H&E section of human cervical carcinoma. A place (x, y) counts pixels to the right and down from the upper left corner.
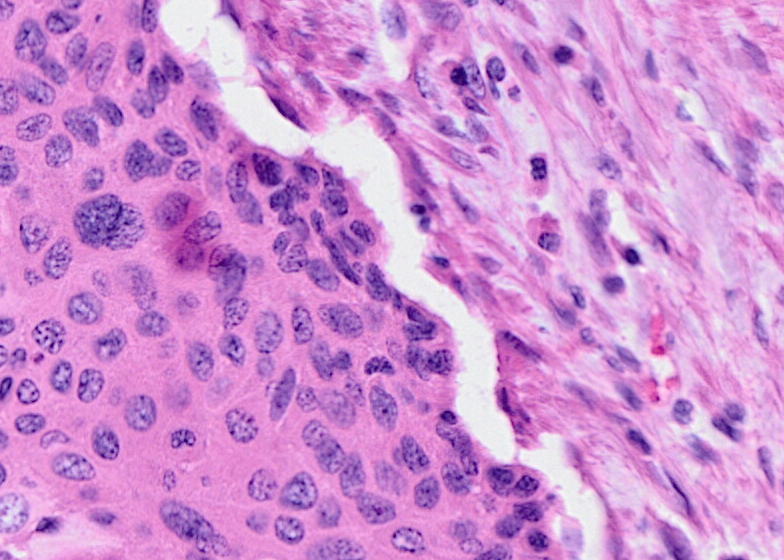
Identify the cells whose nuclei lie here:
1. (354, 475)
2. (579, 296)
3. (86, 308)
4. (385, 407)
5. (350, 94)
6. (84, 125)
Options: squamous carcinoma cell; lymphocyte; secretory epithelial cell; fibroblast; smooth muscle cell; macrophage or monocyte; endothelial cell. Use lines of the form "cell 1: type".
cell 1: squamous carcinoma cell
cell 2: lymphocyte
cell 3: squamous carcinoma cell
cell 4: squamous carcinoma cell
cell 5: fibroblast
cell 6: squamous carcinoma cell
